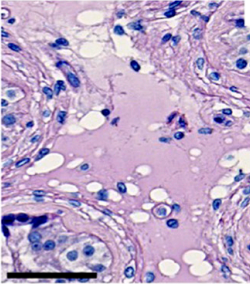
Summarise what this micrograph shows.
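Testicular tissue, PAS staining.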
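This field shows interstitium lying between tubules, which appear cut at the corners of the image. The space is filled with pale pink, homogeneous material dotted with many clear, round to oval holes. Scattered cells with small dark, mostly elongated nuclei lie within it. The walls of the bordering tubules appear as pink layered bands with flattened nuclei.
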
